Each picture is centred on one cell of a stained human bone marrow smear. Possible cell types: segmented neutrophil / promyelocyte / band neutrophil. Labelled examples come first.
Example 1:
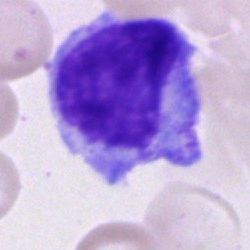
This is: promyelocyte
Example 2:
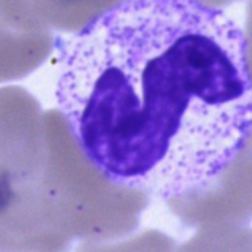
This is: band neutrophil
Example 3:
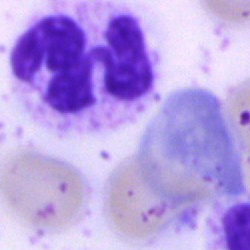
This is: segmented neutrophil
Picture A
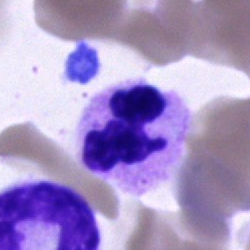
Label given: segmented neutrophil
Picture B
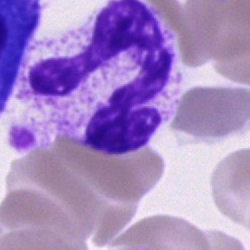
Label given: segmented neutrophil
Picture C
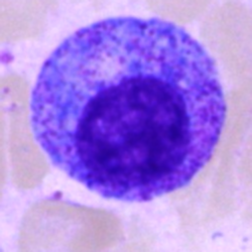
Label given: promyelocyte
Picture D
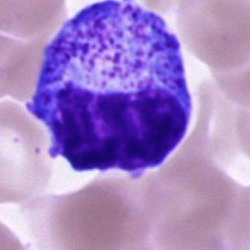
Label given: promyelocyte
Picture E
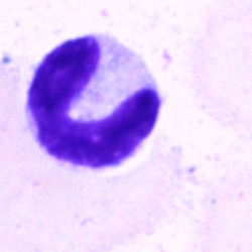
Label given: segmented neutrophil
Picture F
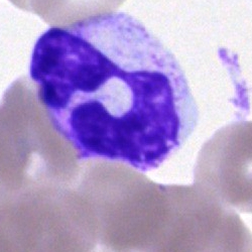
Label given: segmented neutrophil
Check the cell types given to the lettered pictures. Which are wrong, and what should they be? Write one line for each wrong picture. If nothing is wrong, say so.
E: not segmented neutrophil but band neutrophil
